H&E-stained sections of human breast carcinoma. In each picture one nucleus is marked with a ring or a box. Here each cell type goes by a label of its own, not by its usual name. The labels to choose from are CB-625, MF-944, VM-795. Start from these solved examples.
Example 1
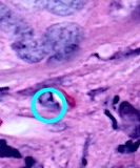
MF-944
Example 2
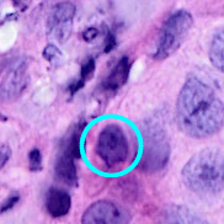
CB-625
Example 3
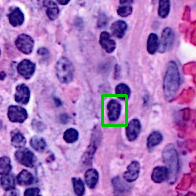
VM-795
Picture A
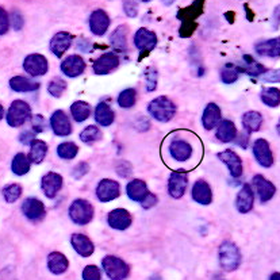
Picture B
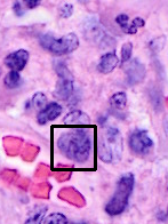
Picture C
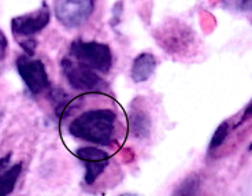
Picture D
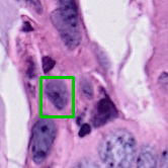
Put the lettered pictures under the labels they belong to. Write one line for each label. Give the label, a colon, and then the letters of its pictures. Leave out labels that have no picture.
CB-625: C, D
MF-944: B
VM-795: A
